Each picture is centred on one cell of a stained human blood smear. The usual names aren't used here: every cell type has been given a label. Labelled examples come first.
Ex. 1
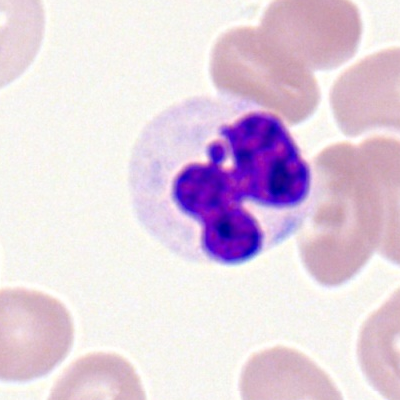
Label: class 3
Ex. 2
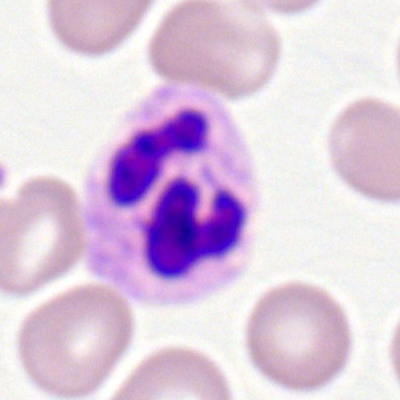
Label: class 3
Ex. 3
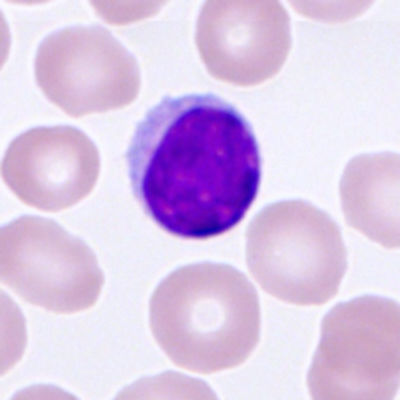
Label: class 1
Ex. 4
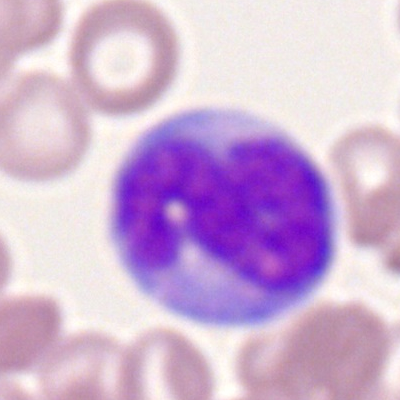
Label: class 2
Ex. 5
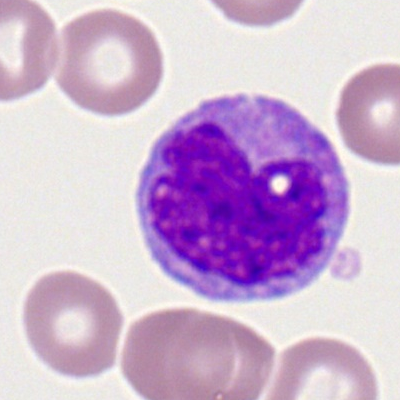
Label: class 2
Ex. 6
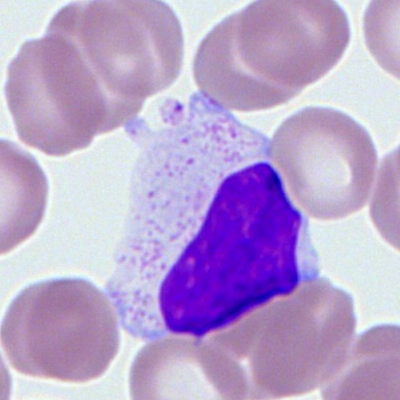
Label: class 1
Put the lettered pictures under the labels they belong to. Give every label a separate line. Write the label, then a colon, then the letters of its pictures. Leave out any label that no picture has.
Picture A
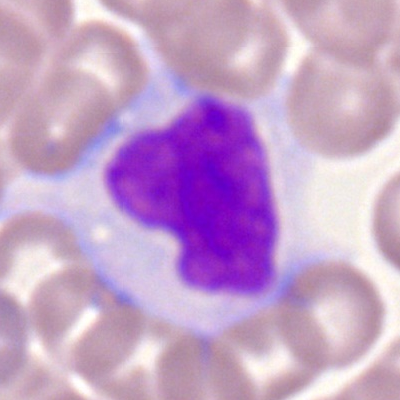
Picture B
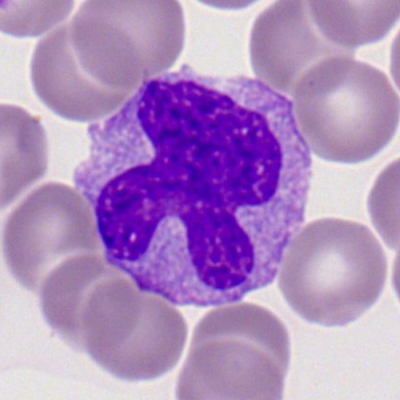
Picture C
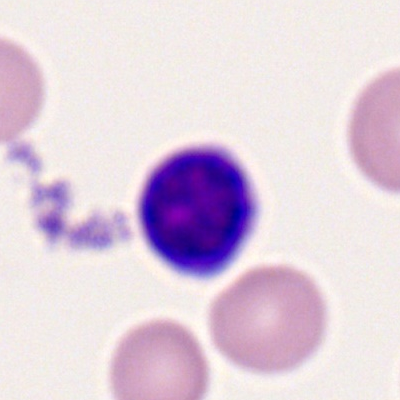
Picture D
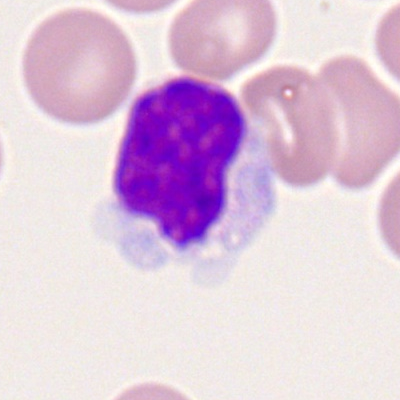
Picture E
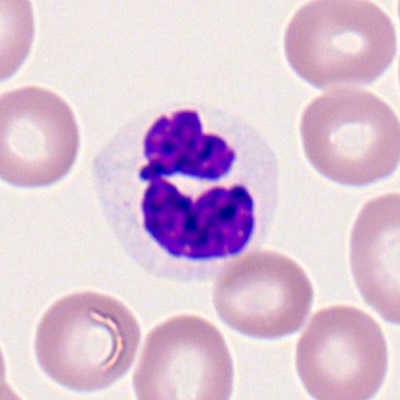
class 3: E
class 1: C, D
class 2: A, B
